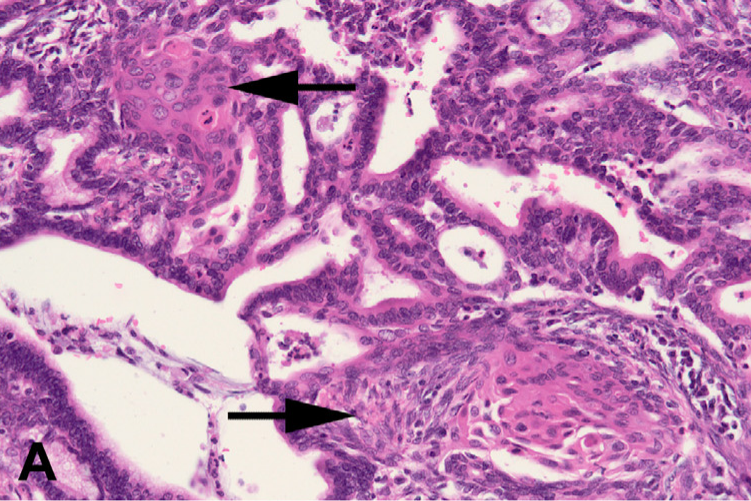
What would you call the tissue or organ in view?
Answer: Endometrioid adenocarcinoma.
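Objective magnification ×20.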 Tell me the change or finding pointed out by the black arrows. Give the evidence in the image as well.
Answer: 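The arrows point to solid nests of cells with abundant pink cytoplasm. These nests lie between gland-forming epithelium with open lumina. The nests lack lumina, unlike the surrounding glands. The answer: benign squamous (morular) metaplasia.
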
